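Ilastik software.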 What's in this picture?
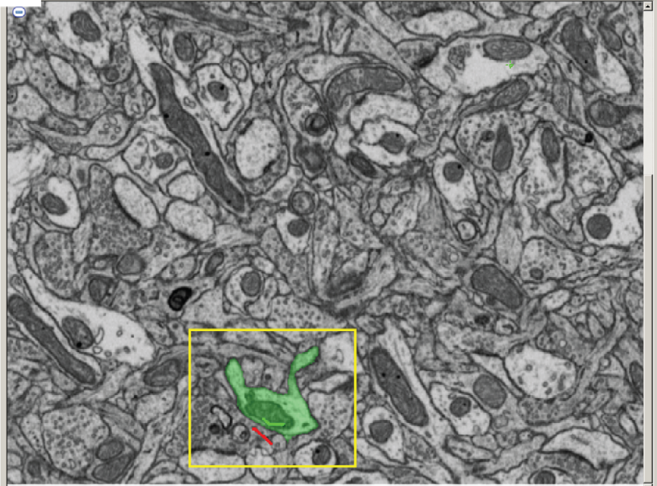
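This grey electron micrograph shows densely packed neural tissue cut across into many membrane-bound profiles of differing size. Many profiles contain dark elongated mitochondria, and some contain small round vesicles. Within a drawn box, one branched profile is filled with a green overlay, lying among neighbouring profiles of similar texture.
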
